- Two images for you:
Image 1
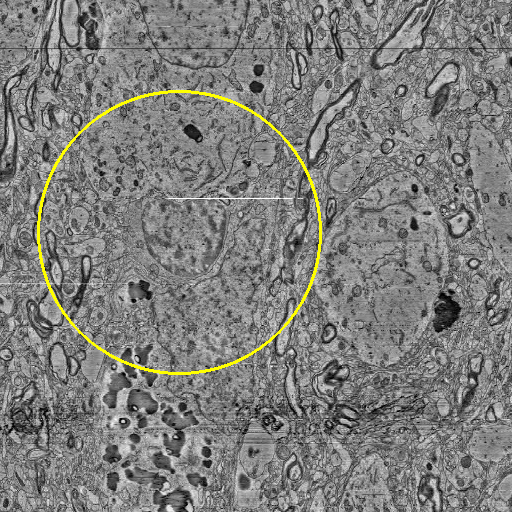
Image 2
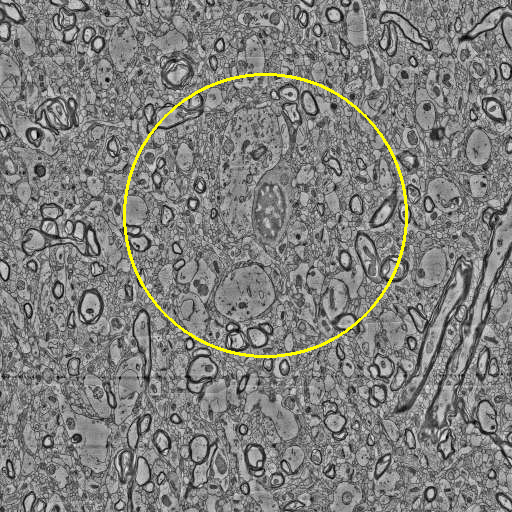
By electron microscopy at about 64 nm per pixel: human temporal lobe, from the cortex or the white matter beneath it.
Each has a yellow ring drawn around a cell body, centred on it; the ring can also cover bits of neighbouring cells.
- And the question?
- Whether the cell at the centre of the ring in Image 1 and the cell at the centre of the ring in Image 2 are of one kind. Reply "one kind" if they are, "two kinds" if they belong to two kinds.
one kind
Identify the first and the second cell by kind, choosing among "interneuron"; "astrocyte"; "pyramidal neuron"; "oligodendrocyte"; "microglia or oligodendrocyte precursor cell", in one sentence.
Each of the two cells is an oligodendrocyte.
